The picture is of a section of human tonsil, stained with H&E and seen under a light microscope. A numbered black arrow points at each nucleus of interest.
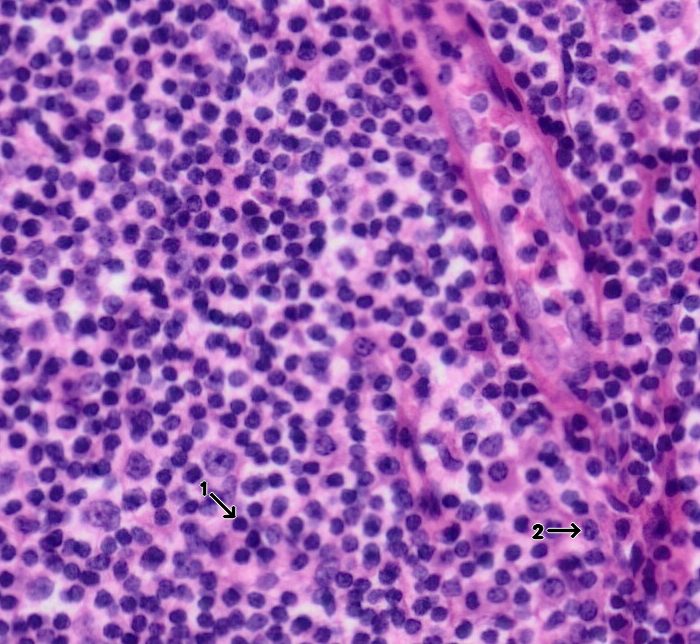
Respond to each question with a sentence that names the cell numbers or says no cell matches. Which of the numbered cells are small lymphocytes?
Of the cells bearing numbers, the only one that is a small lymphocyte is cell 1.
